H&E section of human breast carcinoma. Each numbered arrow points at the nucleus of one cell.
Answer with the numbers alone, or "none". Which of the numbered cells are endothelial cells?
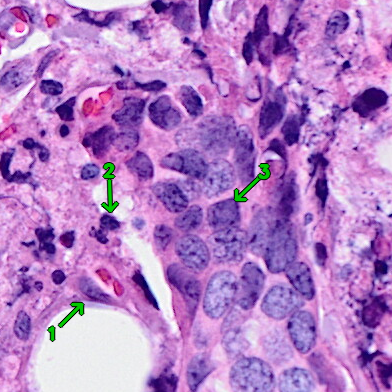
1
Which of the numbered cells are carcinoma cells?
3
